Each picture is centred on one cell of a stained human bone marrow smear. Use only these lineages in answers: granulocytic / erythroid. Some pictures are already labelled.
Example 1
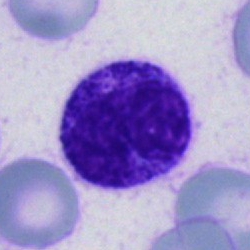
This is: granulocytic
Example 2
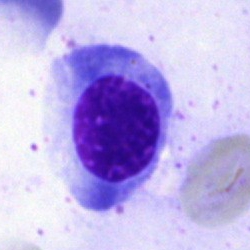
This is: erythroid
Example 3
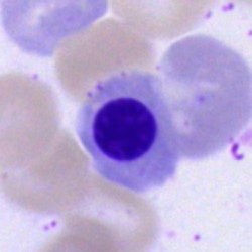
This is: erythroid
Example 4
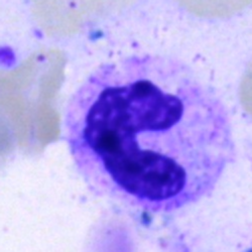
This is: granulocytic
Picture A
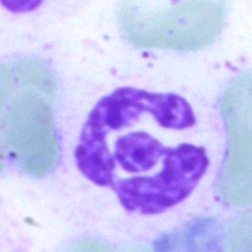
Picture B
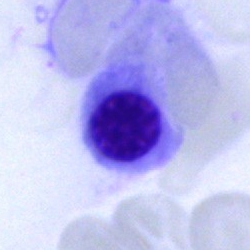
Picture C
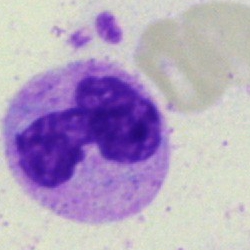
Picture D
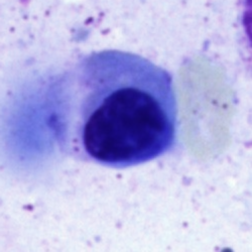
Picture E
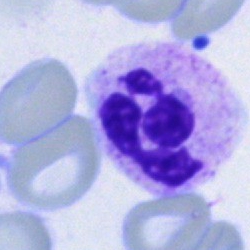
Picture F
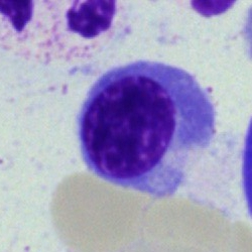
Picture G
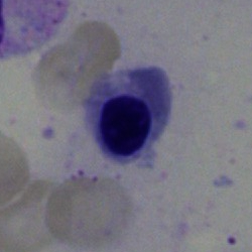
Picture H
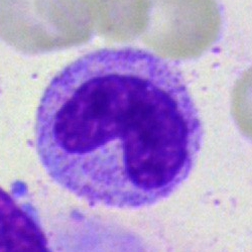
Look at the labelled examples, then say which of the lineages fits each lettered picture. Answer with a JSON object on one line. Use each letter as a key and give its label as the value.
{"A": "granulocytic", "B": "erythroid", "C": "granulocytic", "D": "erythroid", "E": "granulocytic", "F": "erythroid", "G": "erythroid", "H": "granulocytic"}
